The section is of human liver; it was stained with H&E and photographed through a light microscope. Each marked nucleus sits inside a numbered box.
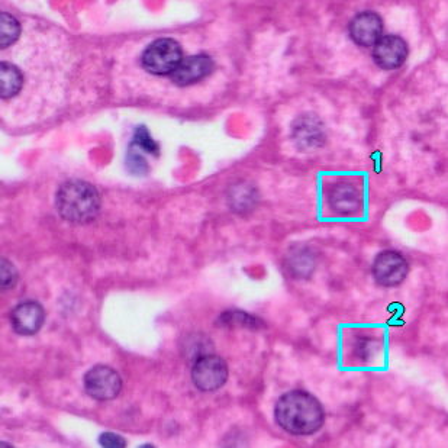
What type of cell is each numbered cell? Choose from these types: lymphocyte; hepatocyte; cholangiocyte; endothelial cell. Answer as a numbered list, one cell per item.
1. hepatocyte
2. endothelial cell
